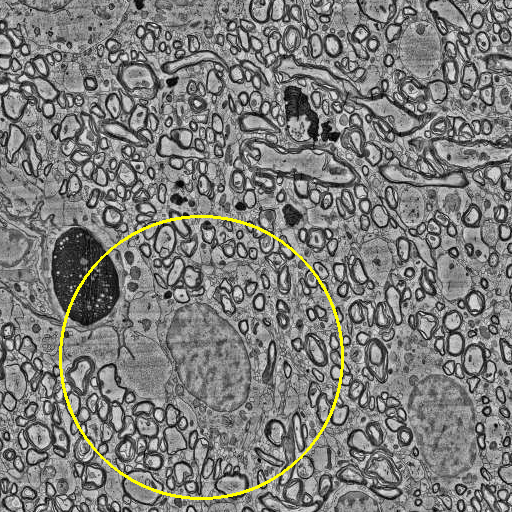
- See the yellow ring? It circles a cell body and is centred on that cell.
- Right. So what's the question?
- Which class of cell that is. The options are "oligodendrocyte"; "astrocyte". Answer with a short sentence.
The centre of the ring holds an oligodendrocyte.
